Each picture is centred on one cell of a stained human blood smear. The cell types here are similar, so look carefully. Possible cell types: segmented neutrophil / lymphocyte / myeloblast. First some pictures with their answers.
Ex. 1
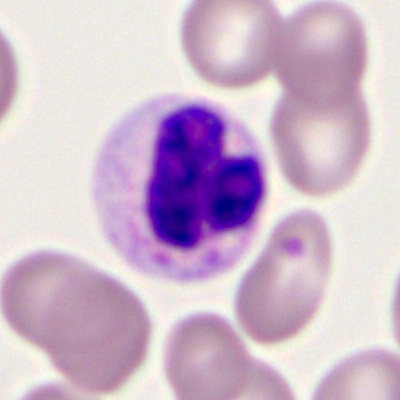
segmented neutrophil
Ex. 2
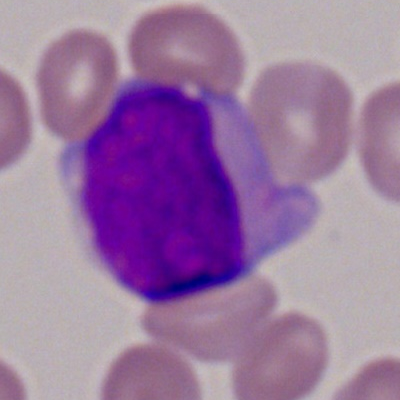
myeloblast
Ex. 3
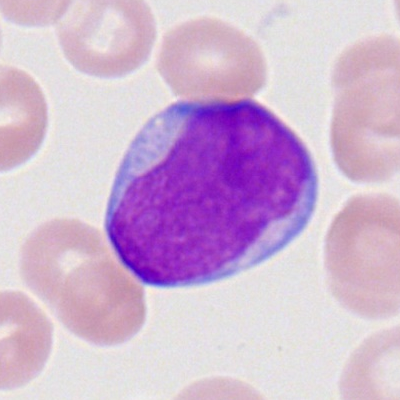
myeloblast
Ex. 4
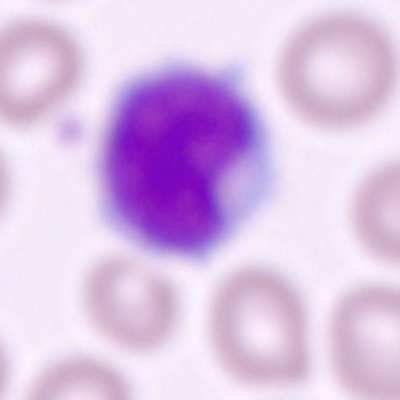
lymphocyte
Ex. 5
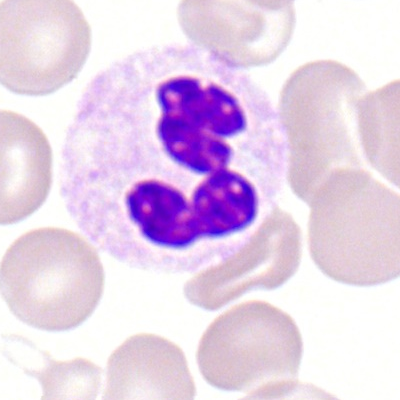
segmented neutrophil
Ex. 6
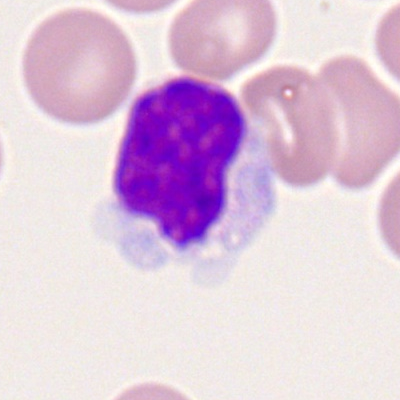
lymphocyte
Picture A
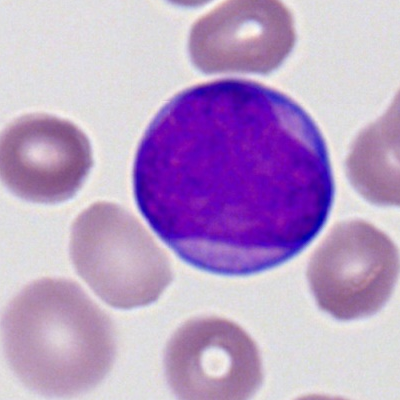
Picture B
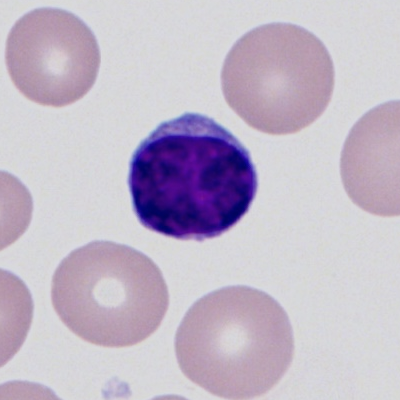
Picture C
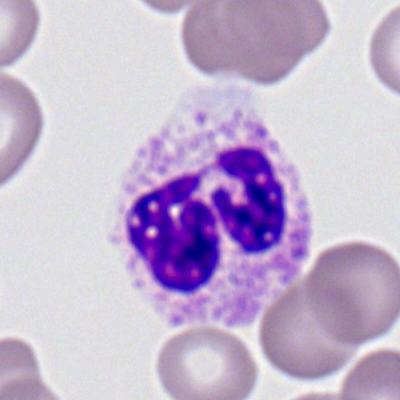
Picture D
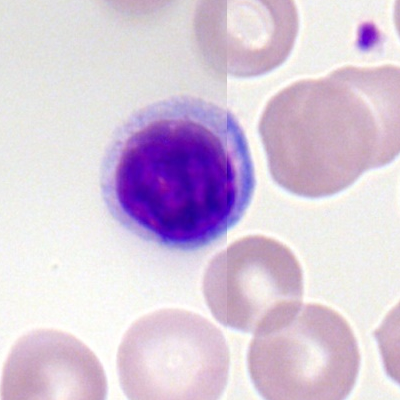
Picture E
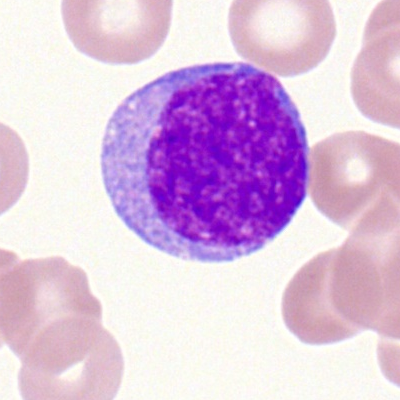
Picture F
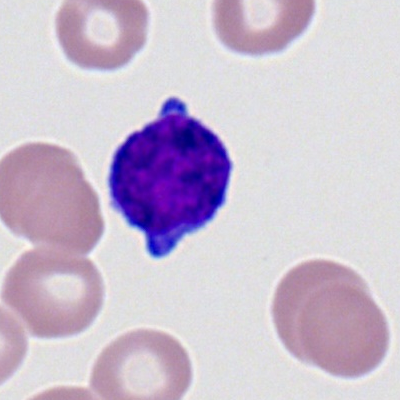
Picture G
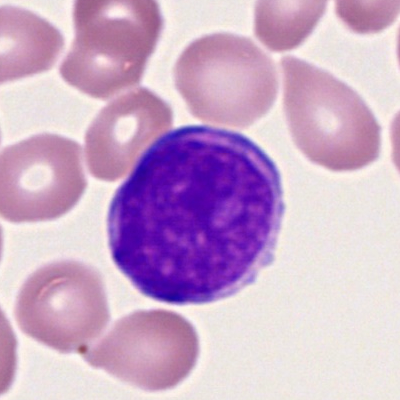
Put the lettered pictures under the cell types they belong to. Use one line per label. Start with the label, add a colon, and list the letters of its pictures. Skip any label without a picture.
segmented neutrophil: C
lymphocyte: B, D, F
myeloblast: A, E, G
